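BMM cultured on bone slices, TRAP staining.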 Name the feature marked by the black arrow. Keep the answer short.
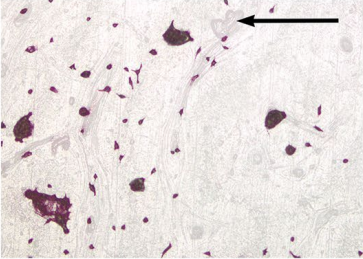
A: Resorption pits.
